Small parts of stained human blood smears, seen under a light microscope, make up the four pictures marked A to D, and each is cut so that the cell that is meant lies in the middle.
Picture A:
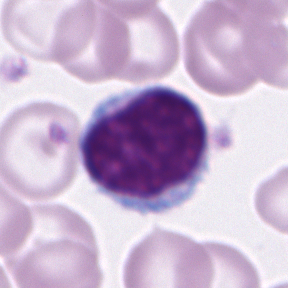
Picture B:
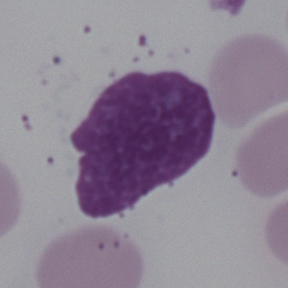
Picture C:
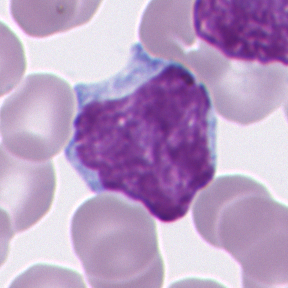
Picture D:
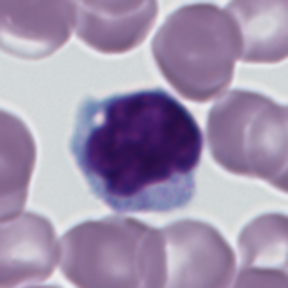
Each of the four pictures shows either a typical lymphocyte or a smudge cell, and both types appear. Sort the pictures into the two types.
A: typical lymphocyte
B: smudge cell
C: typical lymphocyte
D: typical lymphocyte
